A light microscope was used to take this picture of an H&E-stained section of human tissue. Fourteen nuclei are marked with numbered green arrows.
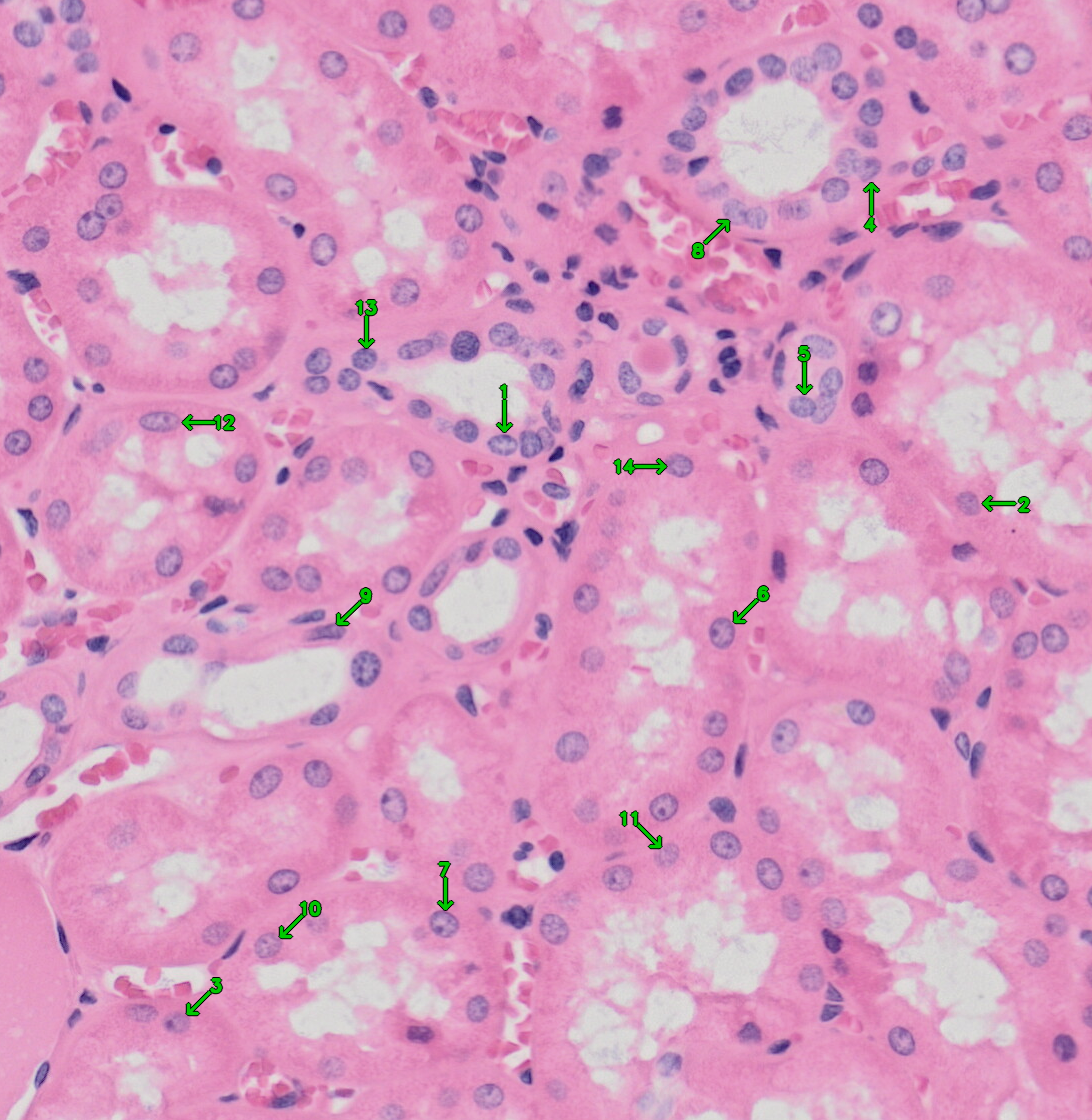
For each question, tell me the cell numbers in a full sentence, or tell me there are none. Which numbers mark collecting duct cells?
Within this tissue, the cells numbered 1, 4, 5, 8, 9 and 13 are collecting duct cells.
